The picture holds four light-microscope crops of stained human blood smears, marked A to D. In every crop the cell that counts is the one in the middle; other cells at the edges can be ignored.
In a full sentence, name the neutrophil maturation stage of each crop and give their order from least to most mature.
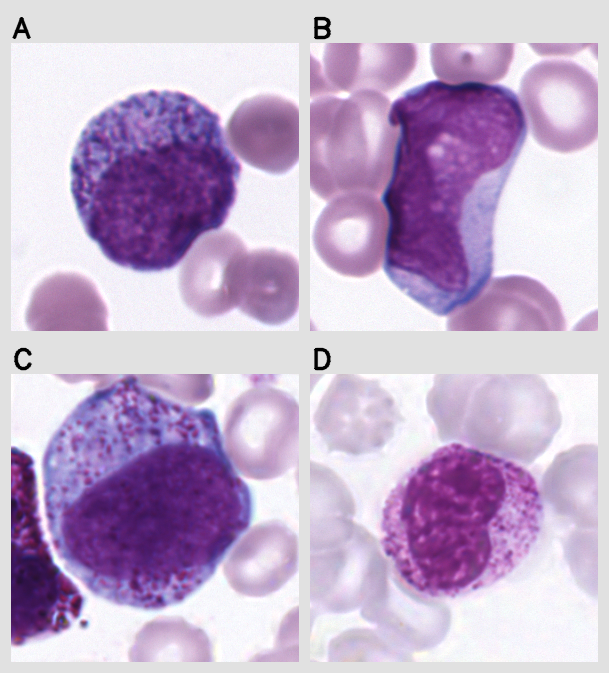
Beginning with the least mature, the order is crop B (a myeloblast), crop C (a promyelocyte), crop A (a myelocyte) and crop D (a metamyelocyte).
